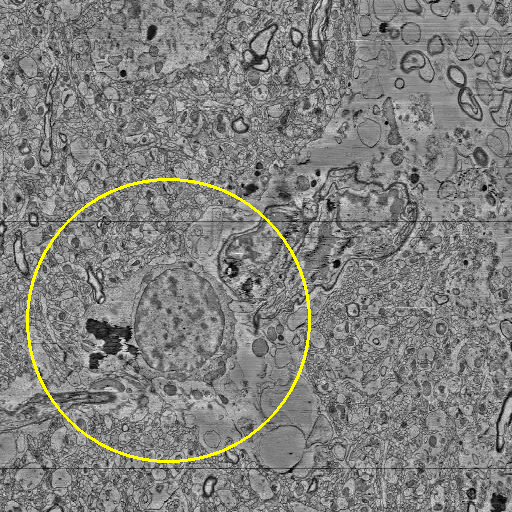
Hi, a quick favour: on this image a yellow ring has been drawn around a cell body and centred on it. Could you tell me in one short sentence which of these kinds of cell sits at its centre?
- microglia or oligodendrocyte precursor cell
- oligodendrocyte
The ring is centred on an oligodendrocyte.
